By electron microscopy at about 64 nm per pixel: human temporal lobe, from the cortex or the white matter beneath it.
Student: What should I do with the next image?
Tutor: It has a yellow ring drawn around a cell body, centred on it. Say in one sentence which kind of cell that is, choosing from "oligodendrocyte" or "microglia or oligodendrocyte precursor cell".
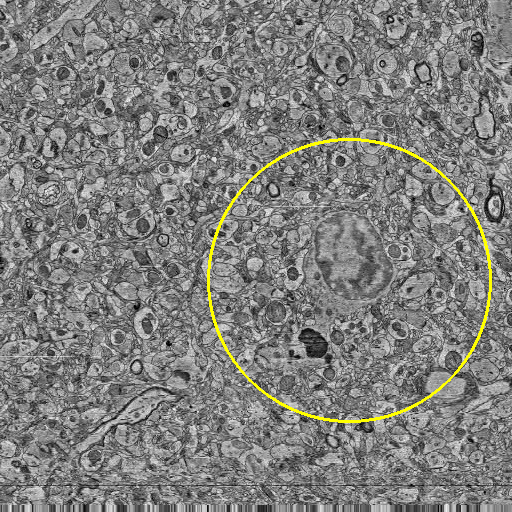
The ring's centre is occupied by an oligodendrocyte.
